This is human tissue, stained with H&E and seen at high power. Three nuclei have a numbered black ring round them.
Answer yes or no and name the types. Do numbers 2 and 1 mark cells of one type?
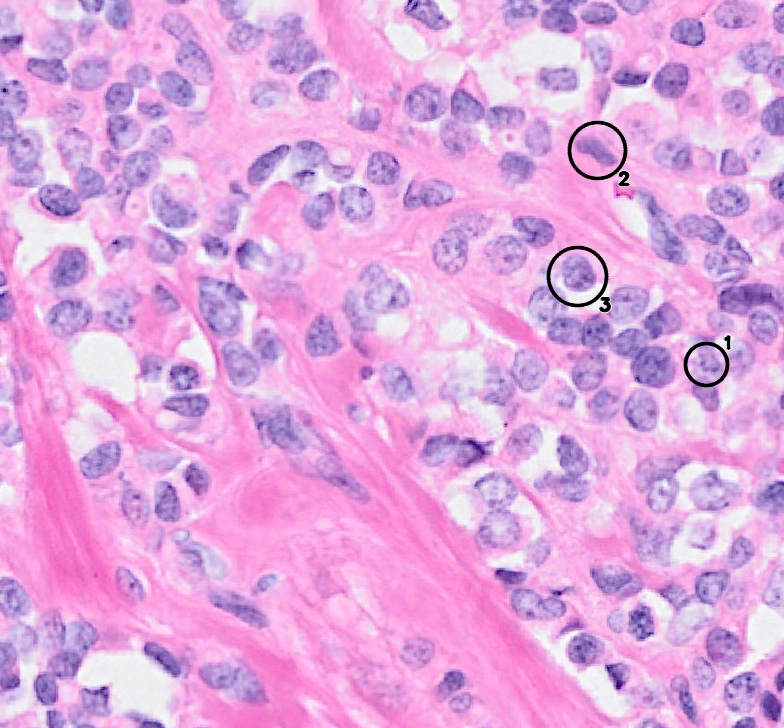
No, that's off: cell 2 is an endothelial cell and cell 1 is a carcinoma cell.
